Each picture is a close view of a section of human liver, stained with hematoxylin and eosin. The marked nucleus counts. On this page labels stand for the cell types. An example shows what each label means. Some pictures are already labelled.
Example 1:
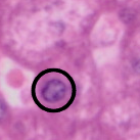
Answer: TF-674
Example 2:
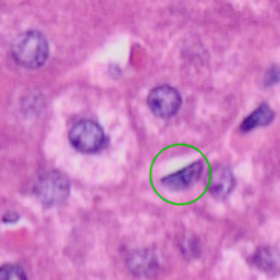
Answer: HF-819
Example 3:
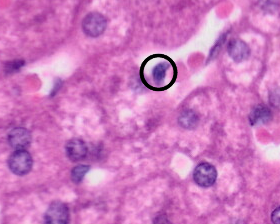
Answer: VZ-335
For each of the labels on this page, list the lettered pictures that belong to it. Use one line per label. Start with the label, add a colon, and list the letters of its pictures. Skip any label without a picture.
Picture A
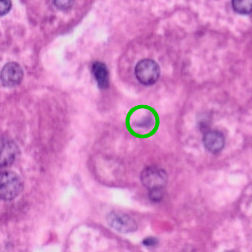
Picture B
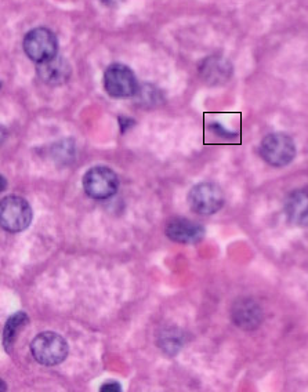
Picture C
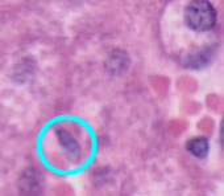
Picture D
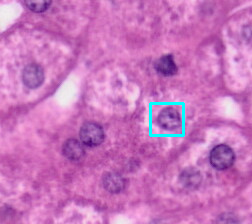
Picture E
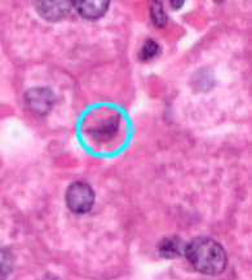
TF-674: D
HF-819: A, B, C, E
